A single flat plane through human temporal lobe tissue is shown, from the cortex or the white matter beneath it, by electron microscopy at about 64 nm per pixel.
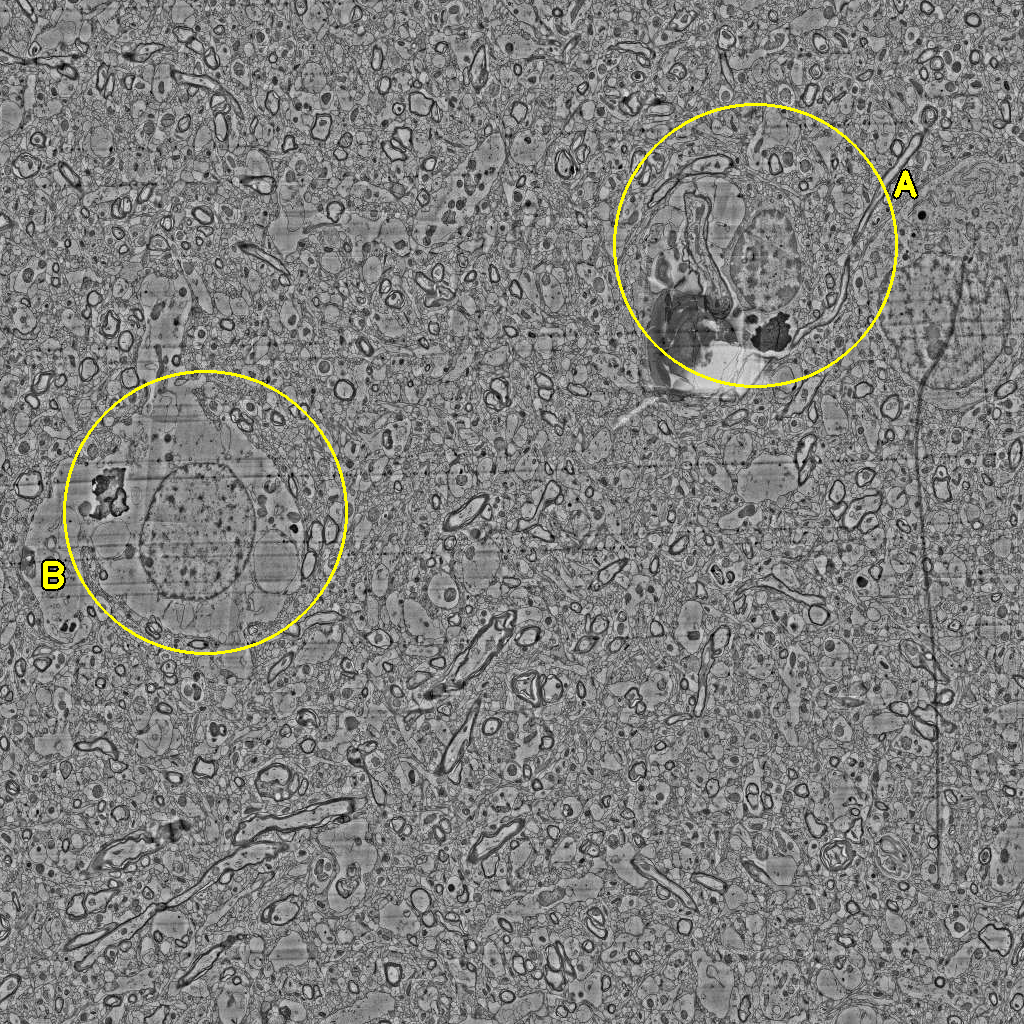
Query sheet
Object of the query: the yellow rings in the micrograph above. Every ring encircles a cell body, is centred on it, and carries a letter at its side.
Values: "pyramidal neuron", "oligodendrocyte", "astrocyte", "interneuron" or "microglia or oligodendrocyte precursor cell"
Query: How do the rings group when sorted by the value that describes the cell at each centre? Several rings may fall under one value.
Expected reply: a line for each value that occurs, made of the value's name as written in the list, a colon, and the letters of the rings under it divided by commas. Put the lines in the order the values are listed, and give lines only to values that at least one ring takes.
oligodendrocyte: A
astrocyte: B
